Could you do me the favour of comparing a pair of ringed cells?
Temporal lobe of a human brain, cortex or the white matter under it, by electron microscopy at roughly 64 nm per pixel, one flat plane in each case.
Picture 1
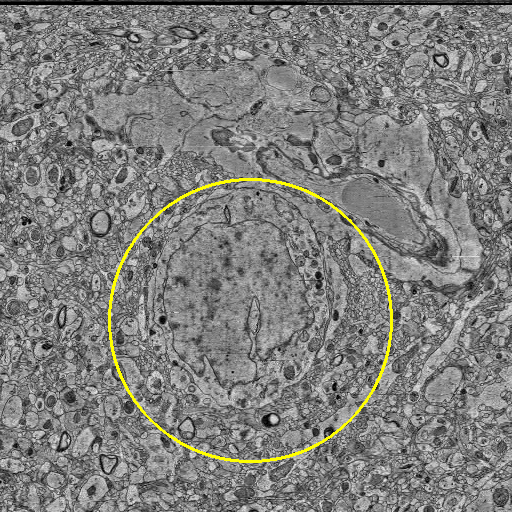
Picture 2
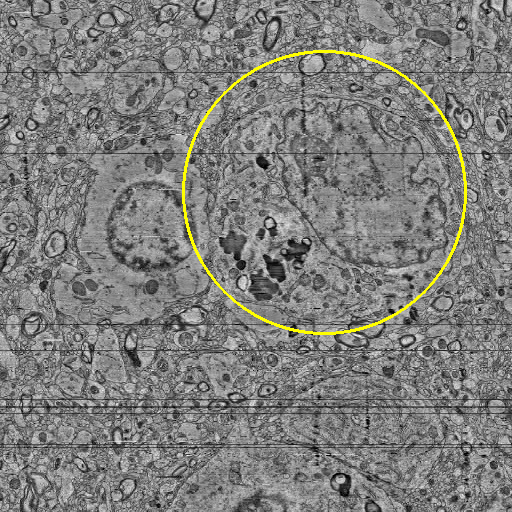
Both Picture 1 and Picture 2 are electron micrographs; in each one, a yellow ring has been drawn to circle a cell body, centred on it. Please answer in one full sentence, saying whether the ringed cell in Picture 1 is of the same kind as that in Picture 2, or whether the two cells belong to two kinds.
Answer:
The ringed cell in Picture 1 is of the same kind as that in Picture 2.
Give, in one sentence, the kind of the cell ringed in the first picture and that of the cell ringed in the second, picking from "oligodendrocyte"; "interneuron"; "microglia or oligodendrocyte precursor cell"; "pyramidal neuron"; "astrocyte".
Both cells are the same kind, each one being an interneuron.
